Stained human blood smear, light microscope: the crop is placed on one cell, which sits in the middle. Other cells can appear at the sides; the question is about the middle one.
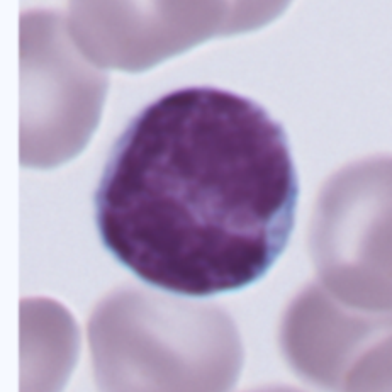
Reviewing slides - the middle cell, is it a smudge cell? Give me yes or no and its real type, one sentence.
No, the centred cell is a typical lymphocyte, and it is not a smudge cell.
